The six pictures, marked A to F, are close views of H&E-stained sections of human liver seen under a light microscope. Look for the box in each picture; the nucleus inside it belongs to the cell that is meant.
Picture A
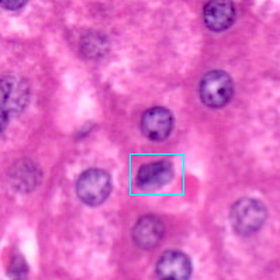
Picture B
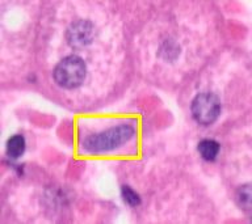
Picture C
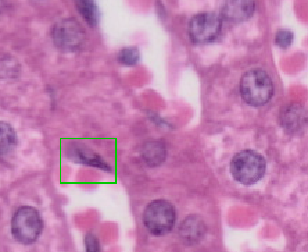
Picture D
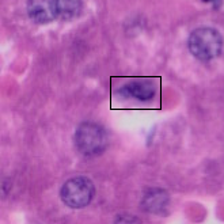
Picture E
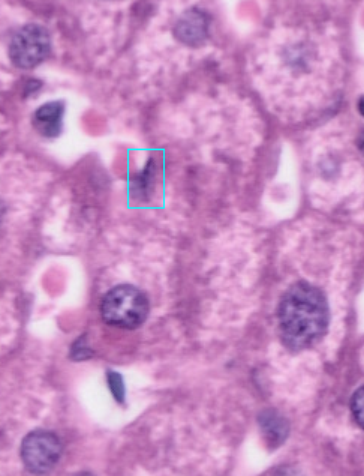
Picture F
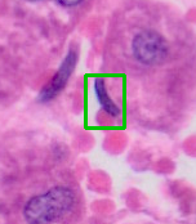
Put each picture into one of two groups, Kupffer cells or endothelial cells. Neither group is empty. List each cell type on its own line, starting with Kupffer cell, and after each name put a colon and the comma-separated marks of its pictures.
Kupffer cell: B, D
endothelial cell: A, C, E, F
